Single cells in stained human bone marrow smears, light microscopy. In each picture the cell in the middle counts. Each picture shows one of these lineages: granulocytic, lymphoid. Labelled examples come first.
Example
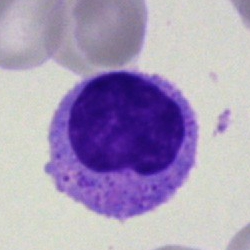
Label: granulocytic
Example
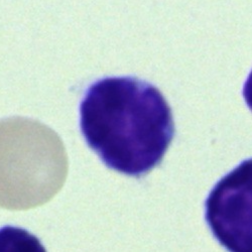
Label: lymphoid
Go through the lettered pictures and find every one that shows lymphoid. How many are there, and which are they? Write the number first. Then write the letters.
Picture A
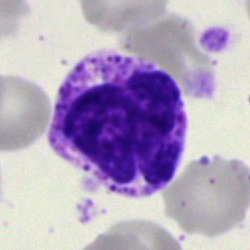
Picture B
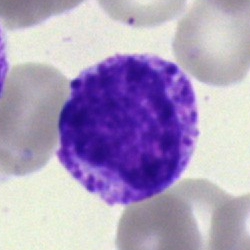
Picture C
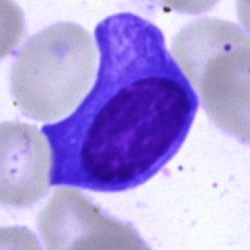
1, namely C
